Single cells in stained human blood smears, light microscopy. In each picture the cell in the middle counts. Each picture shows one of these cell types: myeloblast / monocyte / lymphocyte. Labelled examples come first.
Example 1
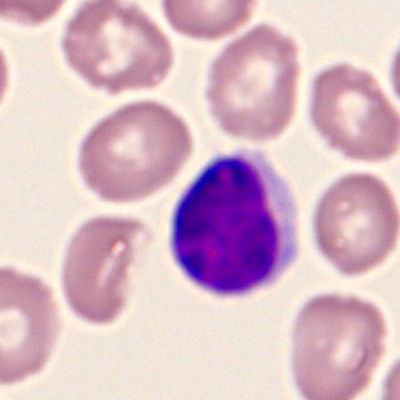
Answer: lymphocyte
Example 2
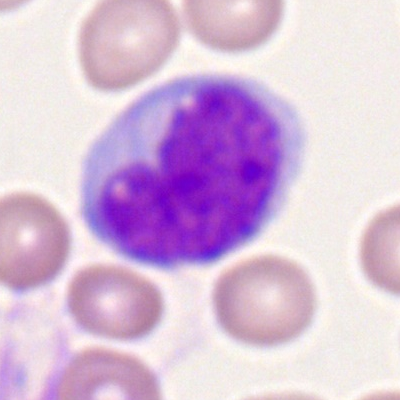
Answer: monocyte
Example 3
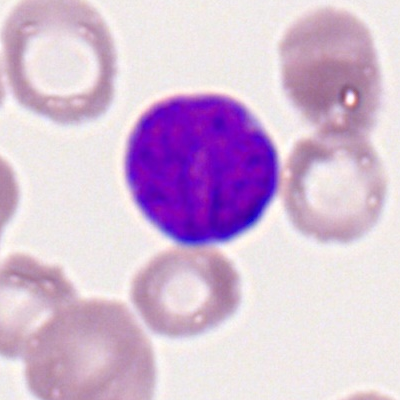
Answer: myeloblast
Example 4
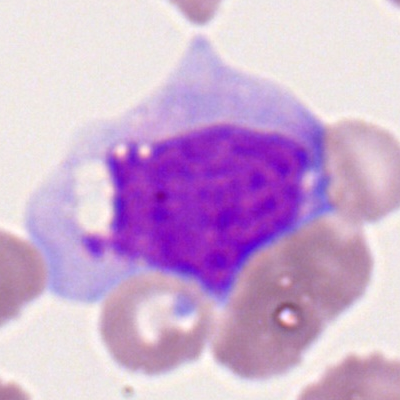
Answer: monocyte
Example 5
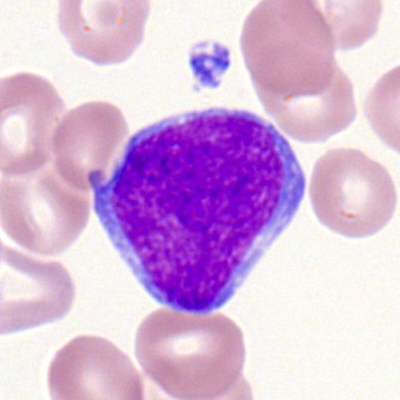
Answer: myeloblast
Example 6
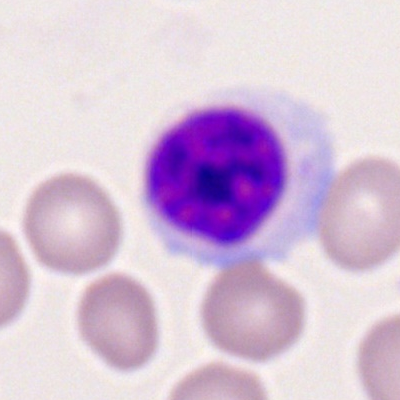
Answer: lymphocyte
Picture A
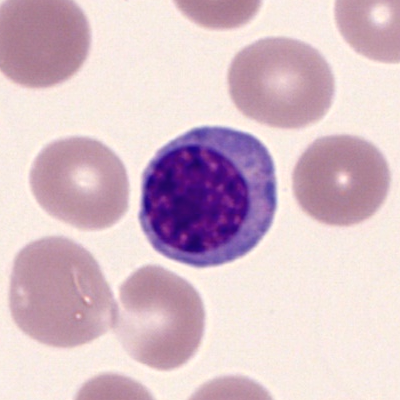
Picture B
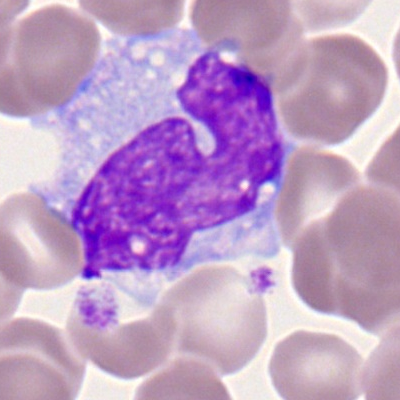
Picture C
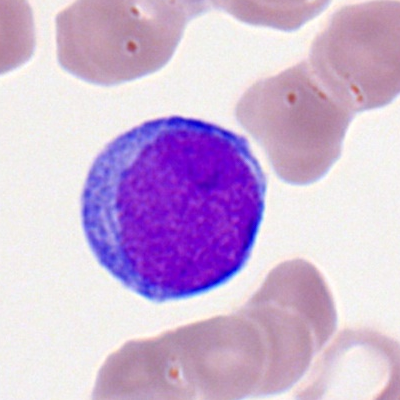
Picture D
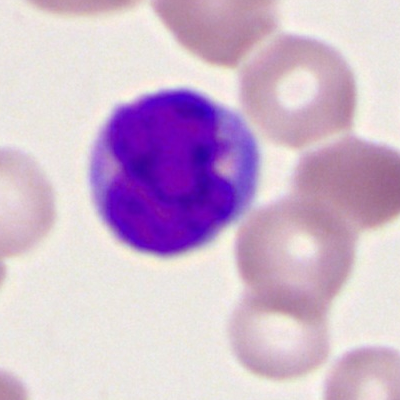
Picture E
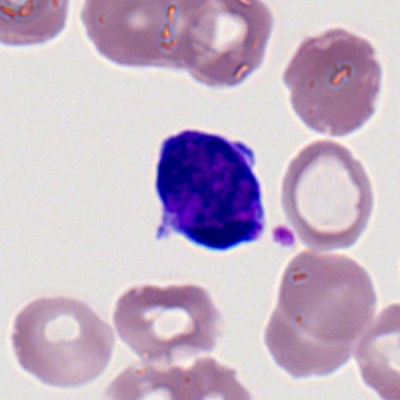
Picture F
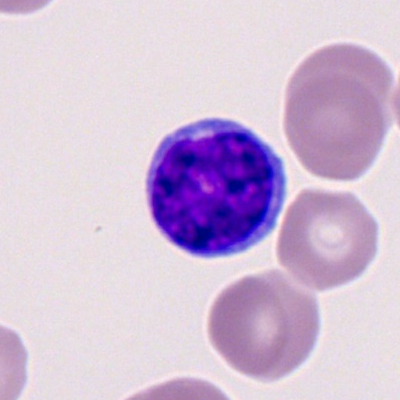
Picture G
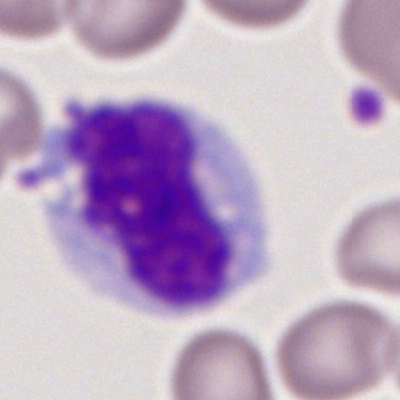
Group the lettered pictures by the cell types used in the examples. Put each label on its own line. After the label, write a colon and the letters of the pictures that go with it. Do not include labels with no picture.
myeloblast: C, D
monocyte: B, G
lymphocyte: A, E, F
